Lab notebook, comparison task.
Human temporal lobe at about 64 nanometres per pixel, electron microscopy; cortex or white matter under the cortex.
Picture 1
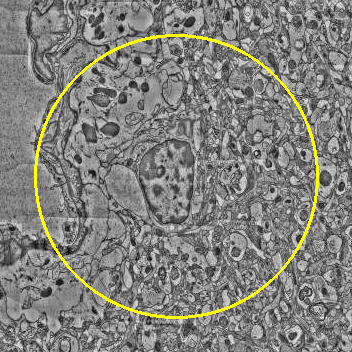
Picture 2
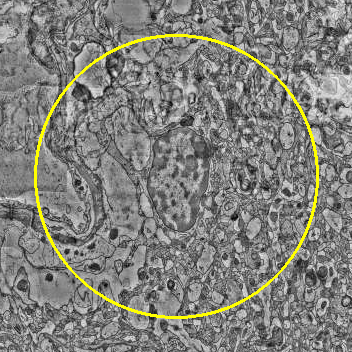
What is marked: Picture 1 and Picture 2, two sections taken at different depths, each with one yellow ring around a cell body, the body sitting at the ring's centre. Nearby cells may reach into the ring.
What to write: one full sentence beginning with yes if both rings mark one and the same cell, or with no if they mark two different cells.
Yes, a single cell is the subject of both yellow rings.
